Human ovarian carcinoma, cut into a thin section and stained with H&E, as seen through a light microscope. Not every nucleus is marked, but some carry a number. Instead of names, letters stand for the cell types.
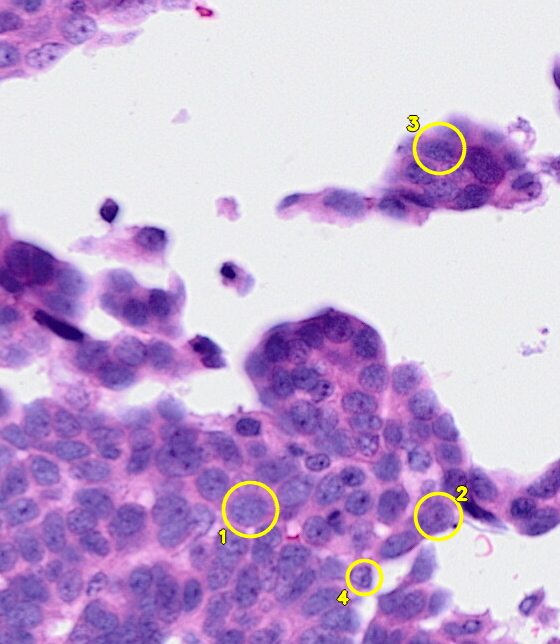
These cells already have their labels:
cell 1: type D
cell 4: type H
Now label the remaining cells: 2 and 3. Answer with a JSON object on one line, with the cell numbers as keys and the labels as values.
{"2": "type D", "3": "type D"}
